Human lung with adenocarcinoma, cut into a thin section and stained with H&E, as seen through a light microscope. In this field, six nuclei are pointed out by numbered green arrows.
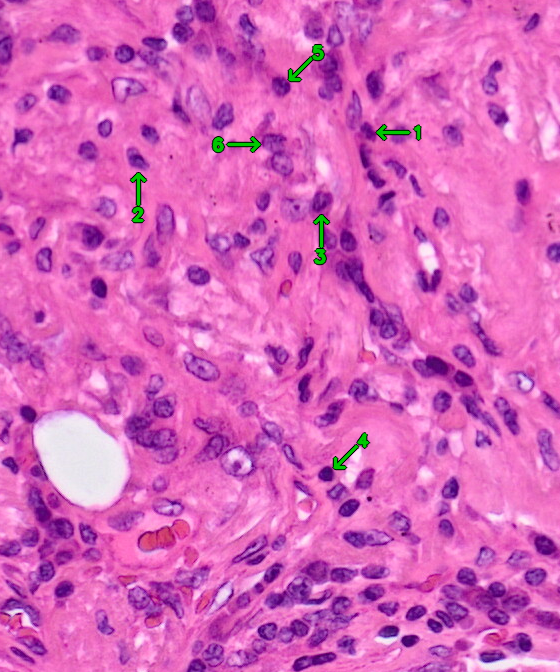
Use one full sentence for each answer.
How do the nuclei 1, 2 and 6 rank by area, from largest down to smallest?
From largest to smallest, the order is 6, 2, 1.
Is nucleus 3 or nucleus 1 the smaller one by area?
Nucleus 1 is the smaller one; nucleus 3 covers about 1.5 times its area.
